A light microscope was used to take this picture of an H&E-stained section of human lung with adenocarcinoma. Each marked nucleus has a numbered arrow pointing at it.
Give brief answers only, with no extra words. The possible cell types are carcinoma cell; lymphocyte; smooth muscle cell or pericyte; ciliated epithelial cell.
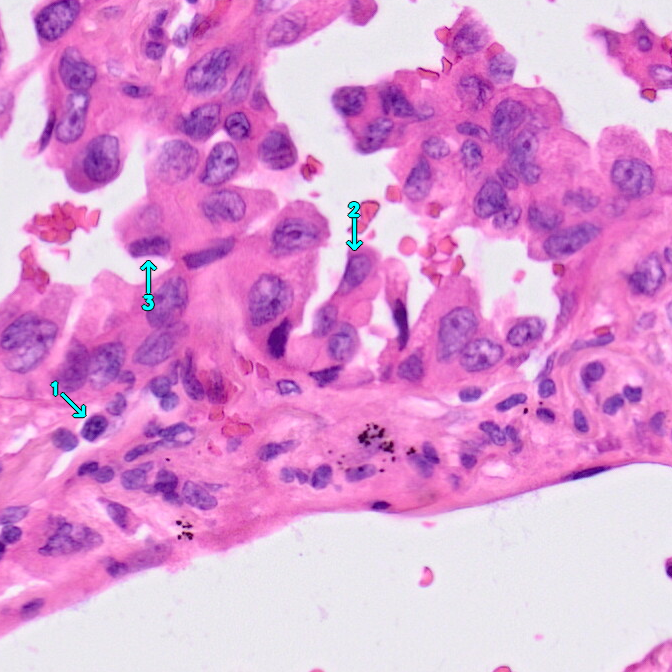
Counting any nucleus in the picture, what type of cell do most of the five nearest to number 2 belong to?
carcinoma cell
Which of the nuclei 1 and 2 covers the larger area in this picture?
2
